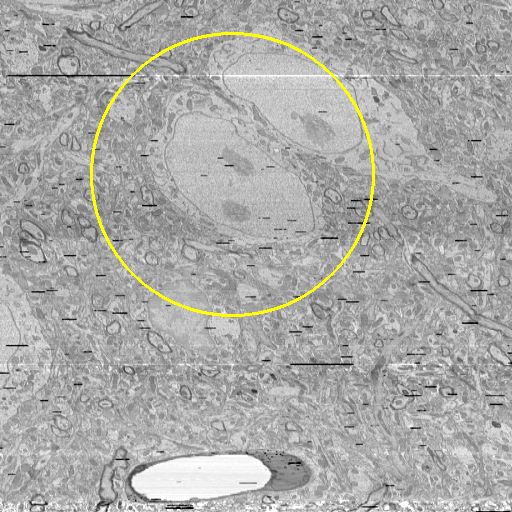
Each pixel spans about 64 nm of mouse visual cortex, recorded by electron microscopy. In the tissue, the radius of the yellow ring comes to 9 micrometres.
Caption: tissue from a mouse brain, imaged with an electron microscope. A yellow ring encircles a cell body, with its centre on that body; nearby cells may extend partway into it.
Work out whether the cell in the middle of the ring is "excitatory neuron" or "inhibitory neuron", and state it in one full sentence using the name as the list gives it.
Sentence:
In the picture, the cell that the yellow ring surrounds at its centre is an excitatory neuron.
